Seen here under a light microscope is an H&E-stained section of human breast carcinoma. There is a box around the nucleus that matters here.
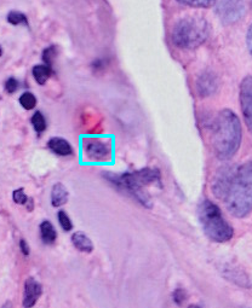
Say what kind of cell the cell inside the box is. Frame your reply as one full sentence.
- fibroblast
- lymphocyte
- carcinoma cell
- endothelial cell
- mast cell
As to its cell type, the cell inside the box is an endothelial cell.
